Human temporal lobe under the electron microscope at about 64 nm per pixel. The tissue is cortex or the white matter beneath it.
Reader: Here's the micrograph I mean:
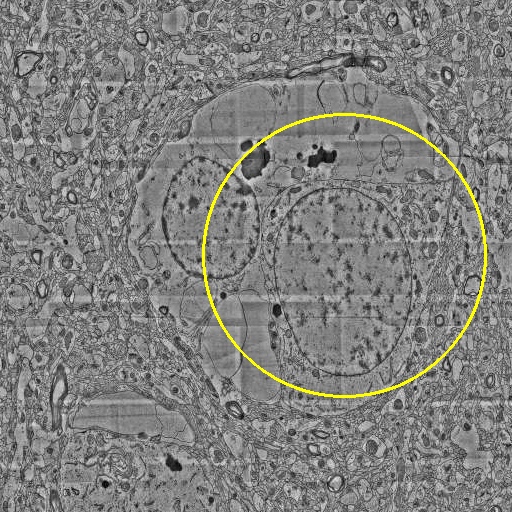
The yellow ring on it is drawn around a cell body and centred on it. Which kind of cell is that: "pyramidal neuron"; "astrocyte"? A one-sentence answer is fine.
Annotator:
The ring is centred on a pyramidal neuron.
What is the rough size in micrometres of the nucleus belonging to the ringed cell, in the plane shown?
About 12 by 9 micrometres in this plane.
